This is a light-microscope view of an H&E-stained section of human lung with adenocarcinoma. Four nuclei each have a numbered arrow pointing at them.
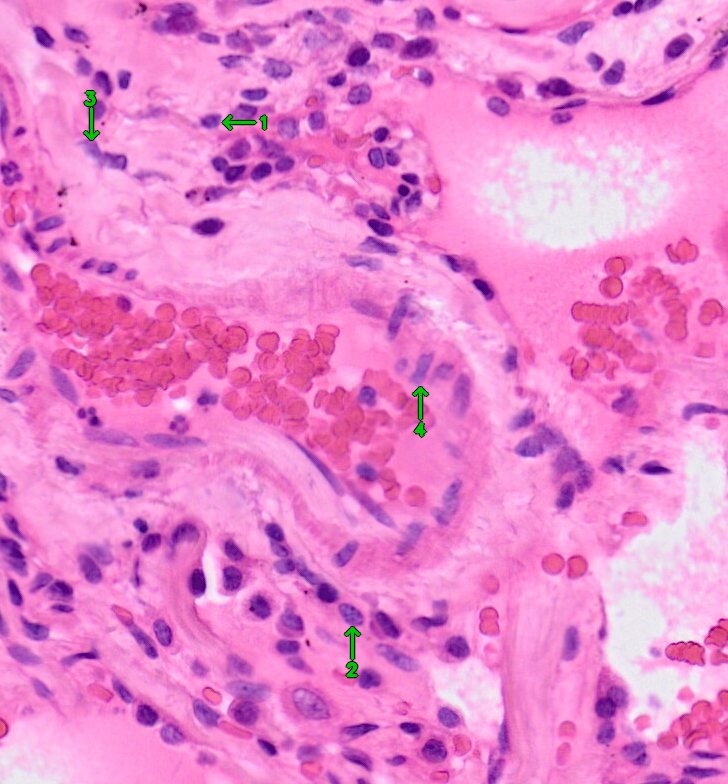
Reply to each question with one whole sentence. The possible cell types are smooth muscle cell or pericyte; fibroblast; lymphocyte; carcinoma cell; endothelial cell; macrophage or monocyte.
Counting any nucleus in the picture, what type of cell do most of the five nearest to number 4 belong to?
Around number 4, most of the five nearest nuclei are those of smooth muscle cells or pericytes.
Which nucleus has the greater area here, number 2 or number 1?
At about 1.5 times the area of nucleus 1, nucleus 2 is the larger of the two.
